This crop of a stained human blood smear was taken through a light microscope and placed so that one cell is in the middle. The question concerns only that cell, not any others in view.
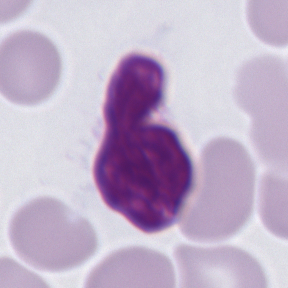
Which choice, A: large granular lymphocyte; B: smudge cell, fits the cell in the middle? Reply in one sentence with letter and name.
The one to choose is option B, as the cell in the middle is a smudge cell.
